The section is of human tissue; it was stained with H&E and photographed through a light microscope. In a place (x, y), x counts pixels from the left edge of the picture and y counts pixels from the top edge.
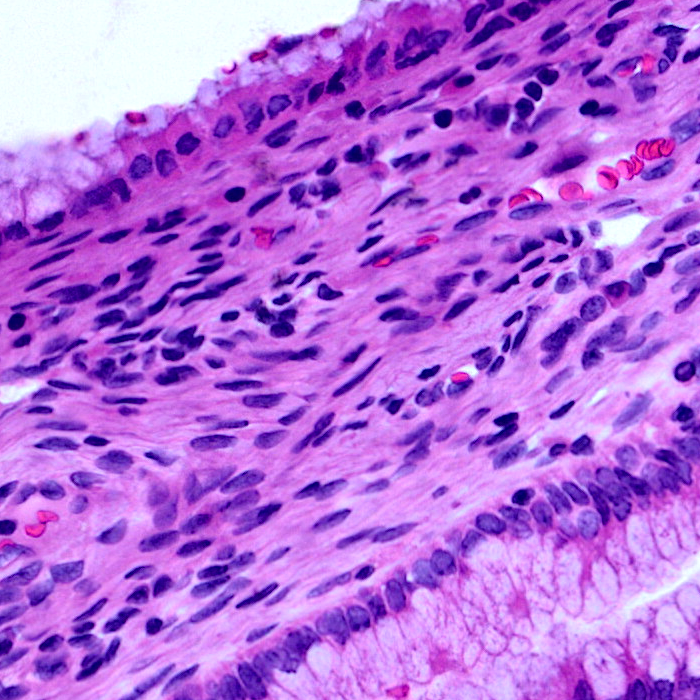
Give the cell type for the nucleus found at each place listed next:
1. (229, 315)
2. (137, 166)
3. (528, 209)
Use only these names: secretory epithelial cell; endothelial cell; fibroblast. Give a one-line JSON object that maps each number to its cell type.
{"1": "fibroblast", "2": "secretory epithelial cell", "3": "endothelial cell"}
